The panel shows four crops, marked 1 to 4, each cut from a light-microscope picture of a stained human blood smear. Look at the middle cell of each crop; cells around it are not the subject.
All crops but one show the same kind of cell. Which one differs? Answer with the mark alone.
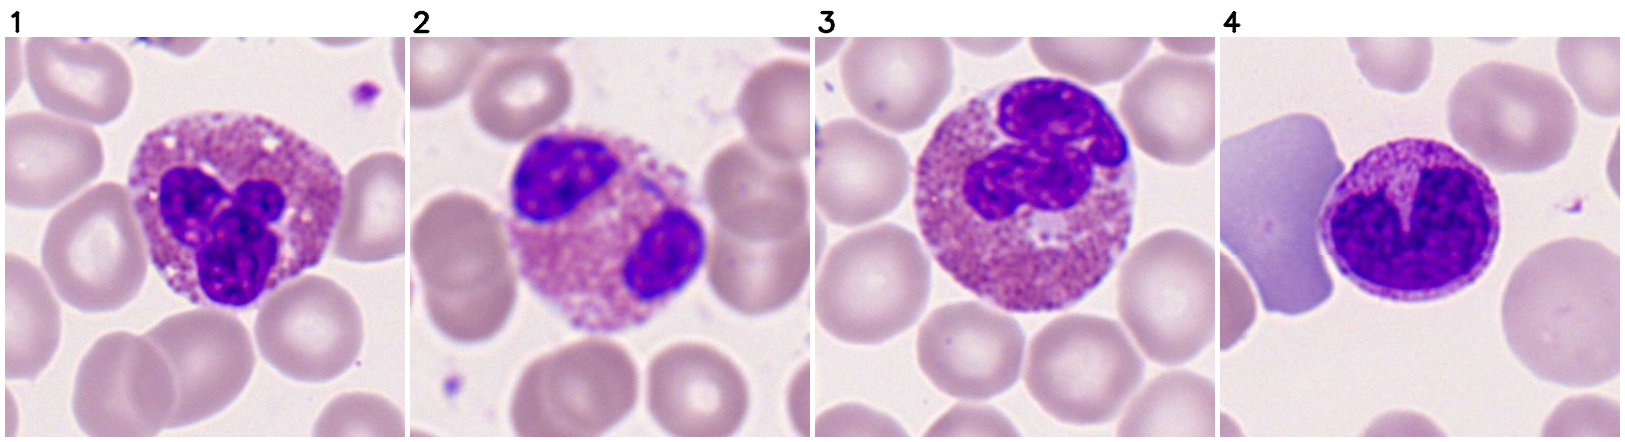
4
